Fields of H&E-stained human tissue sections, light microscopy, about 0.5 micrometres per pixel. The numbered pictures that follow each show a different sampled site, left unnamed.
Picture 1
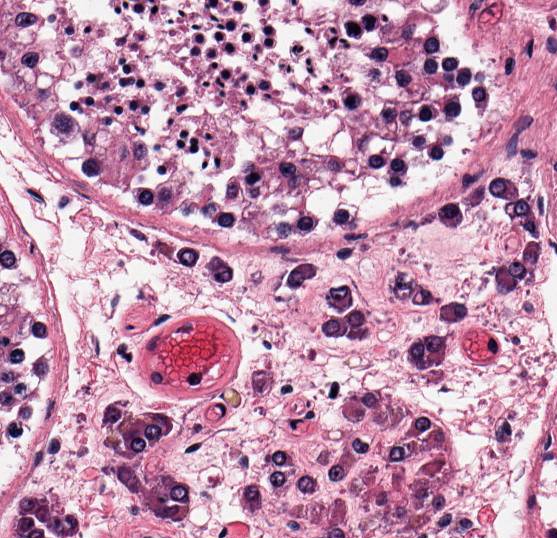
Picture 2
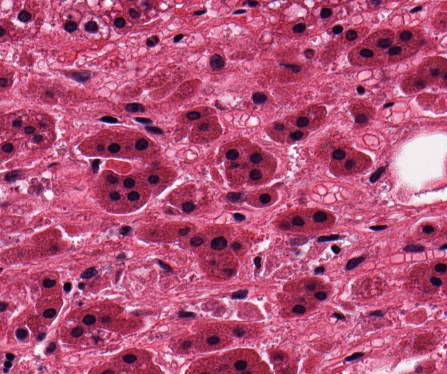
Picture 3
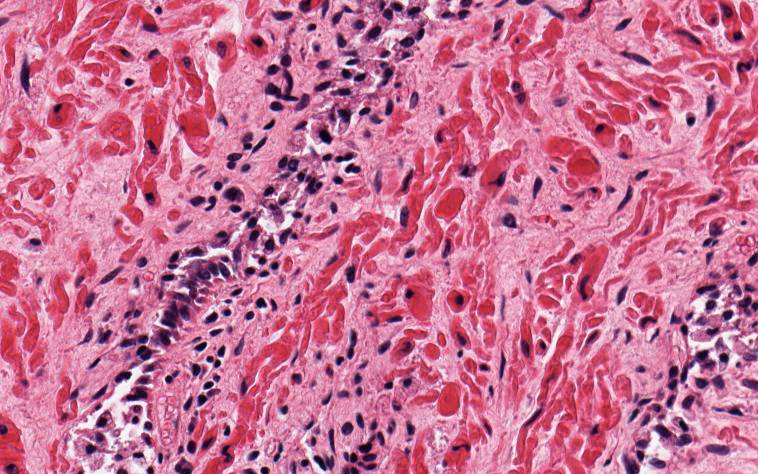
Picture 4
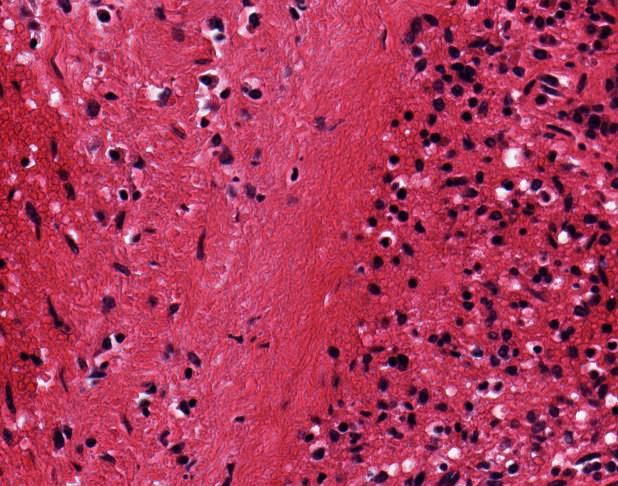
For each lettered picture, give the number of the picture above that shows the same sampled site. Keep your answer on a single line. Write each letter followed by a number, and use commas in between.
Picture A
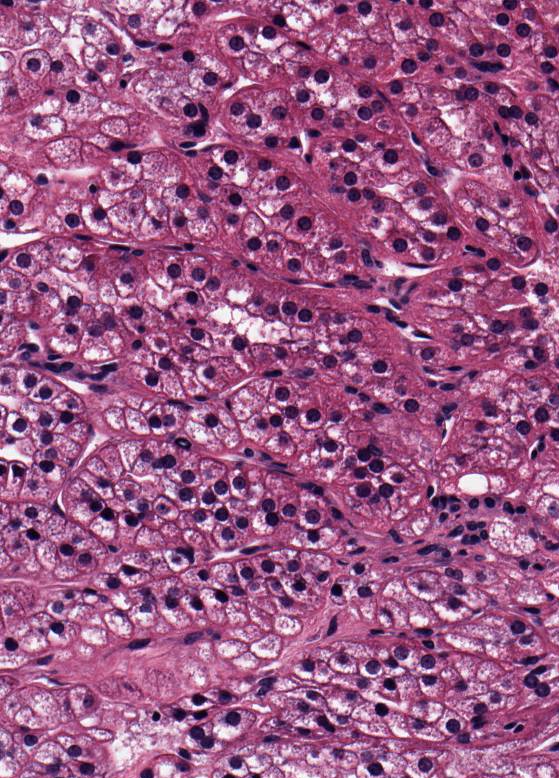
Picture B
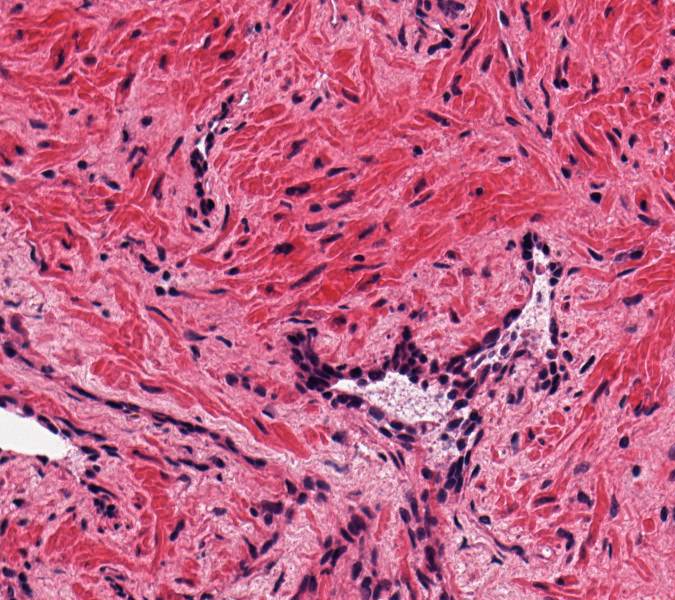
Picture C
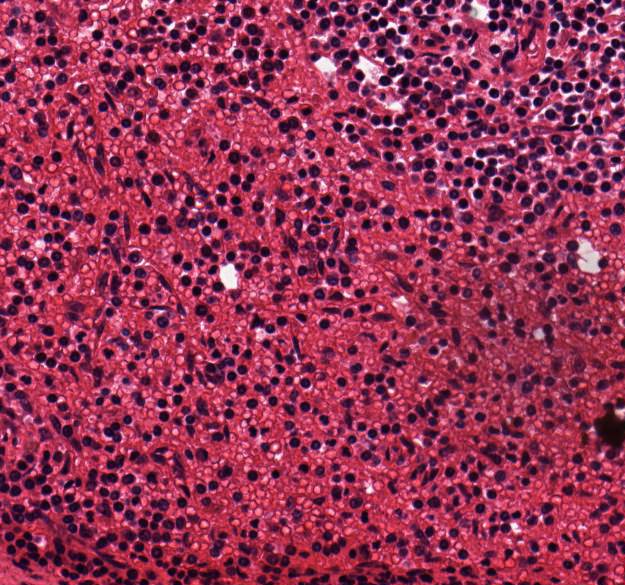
A 2, B 3, C 4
